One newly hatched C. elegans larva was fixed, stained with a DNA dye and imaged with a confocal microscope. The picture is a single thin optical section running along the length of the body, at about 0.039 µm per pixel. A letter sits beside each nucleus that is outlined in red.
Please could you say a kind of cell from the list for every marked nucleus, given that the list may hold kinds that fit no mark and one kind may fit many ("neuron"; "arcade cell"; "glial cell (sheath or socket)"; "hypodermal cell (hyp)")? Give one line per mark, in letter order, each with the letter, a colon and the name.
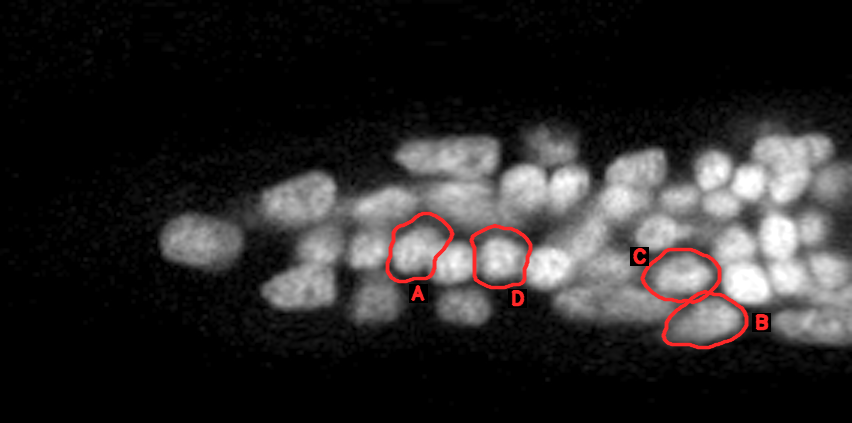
A: glial cell (sheath or socket)
B: neuron
C: glial cell (sheath or socket)
D: hypodermal cell (hyp)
